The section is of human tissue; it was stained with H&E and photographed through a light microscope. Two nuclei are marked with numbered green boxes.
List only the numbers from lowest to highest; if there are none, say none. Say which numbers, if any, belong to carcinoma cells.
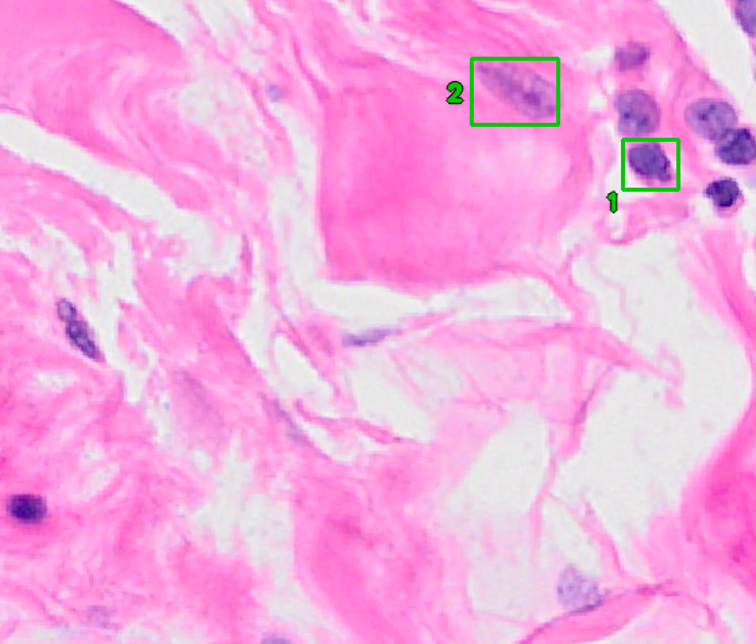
1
